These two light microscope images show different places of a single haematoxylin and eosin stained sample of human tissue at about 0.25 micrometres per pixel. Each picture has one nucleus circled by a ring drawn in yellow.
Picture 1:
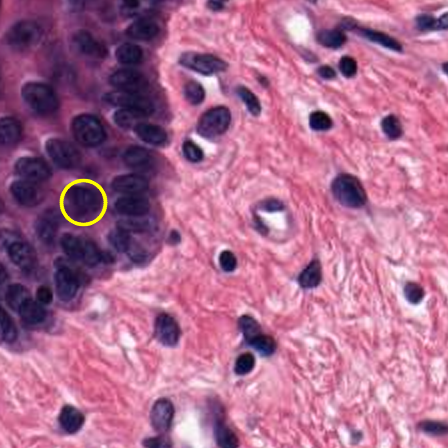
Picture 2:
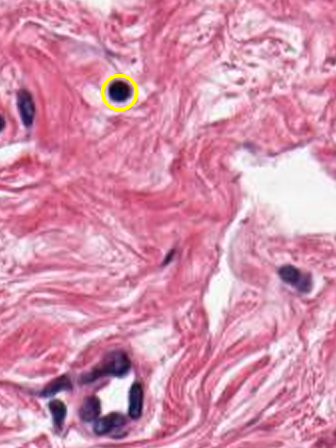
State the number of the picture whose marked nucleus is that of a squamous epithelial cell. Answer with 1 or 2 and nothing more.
1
